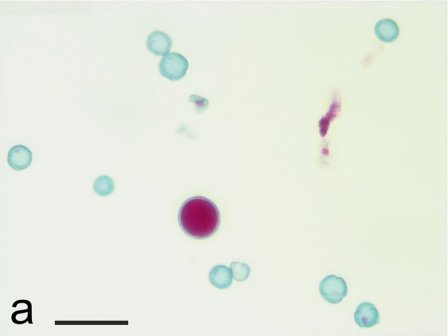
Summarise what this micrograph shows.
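Scattered free pollen grains are seen against a clear background, most of them small, round and stained pale blue-green with only their walls clearly coloured. A single larger grain stands out, filled with dense magenta-red content. Small fragments of debris lie between the grains.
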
